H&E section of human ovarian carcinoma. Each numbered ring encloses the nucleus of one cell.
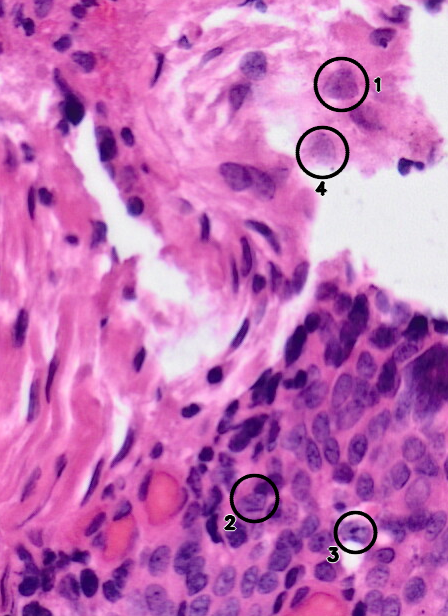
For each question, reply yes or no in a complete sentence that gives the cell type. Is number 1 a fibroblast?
Yes, the cell pointed out as number 1 is a fibroblast.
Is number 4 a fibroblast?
Yes, the cell that the number 4 labels is a fibroblast.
